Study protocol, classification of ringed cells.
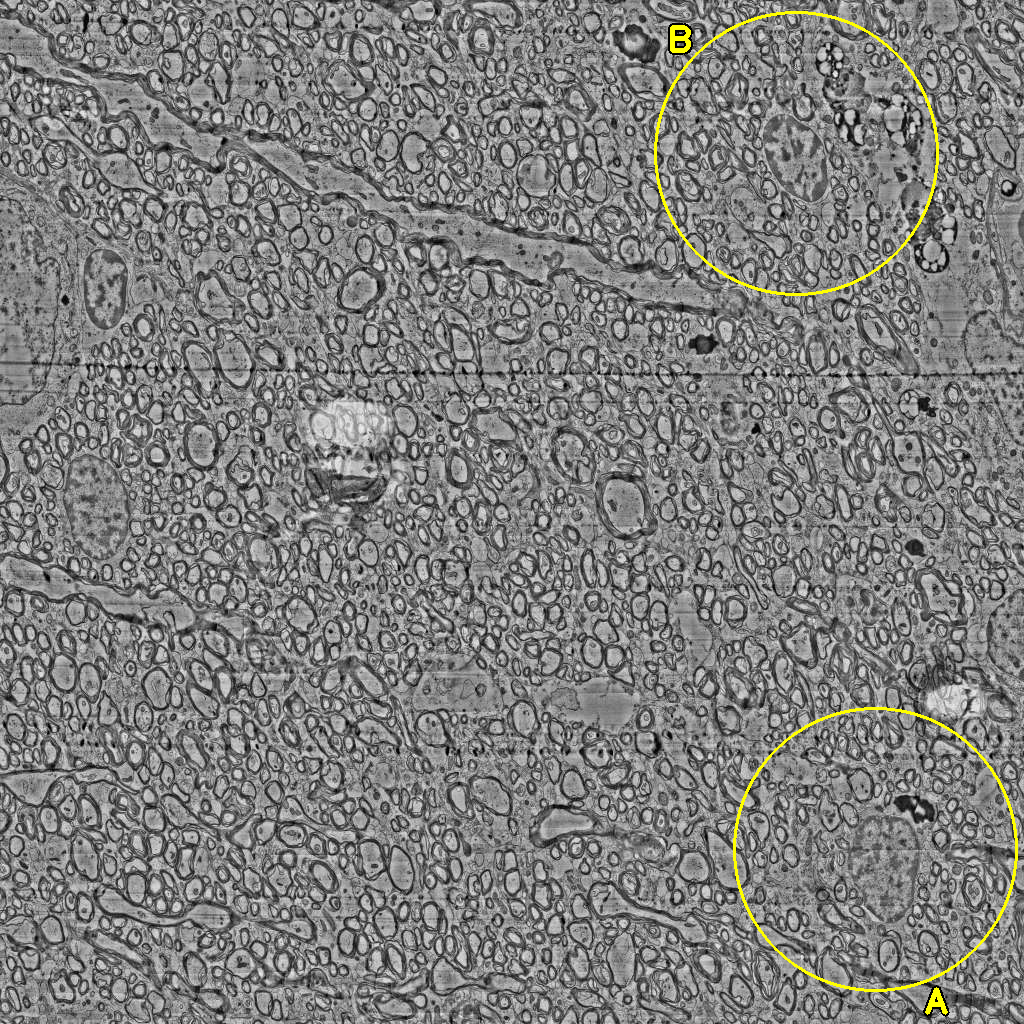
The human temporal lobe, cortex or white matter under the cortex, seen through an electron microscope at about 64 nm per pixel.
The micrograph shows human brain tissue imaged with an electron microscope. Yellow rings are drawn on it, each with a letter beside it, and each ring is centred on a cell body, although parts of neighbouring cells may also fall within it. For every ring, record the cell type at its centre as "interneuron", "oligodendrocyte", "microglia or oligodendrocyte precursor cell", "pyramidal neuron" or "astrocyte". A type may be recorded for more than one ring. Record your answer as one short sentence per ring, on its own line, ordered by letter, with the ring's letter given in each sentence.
Ring A has been centred on an oligodendrocyte.
Ring B has been centred on a microglial cell or oligodendrocyte precursor cell.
